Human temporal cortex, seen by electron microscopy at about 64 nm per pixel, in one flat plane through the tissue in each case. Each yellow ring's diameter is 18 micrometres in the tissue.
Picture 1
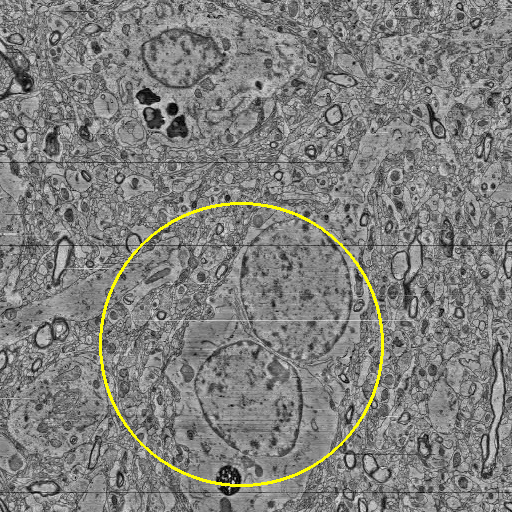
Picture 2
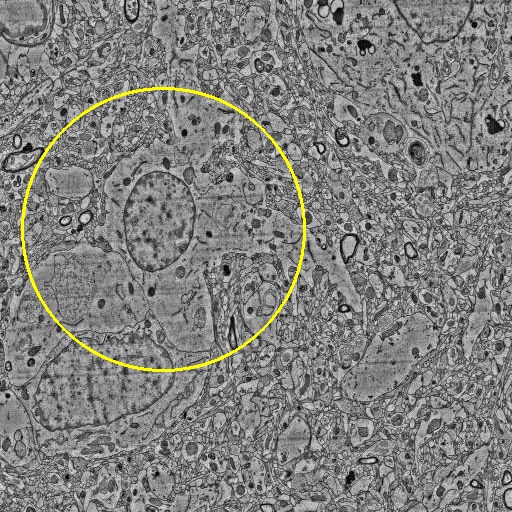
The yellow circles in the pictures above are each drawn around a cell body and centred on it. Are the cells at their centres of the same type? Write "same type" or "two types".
same type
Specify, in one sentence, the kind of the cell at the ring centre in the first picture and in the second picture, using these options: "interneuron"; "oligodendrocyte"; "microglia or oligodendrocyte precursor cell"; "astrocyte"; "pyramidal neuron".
The ring centre holds an astrocyte in each of the two pictures.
